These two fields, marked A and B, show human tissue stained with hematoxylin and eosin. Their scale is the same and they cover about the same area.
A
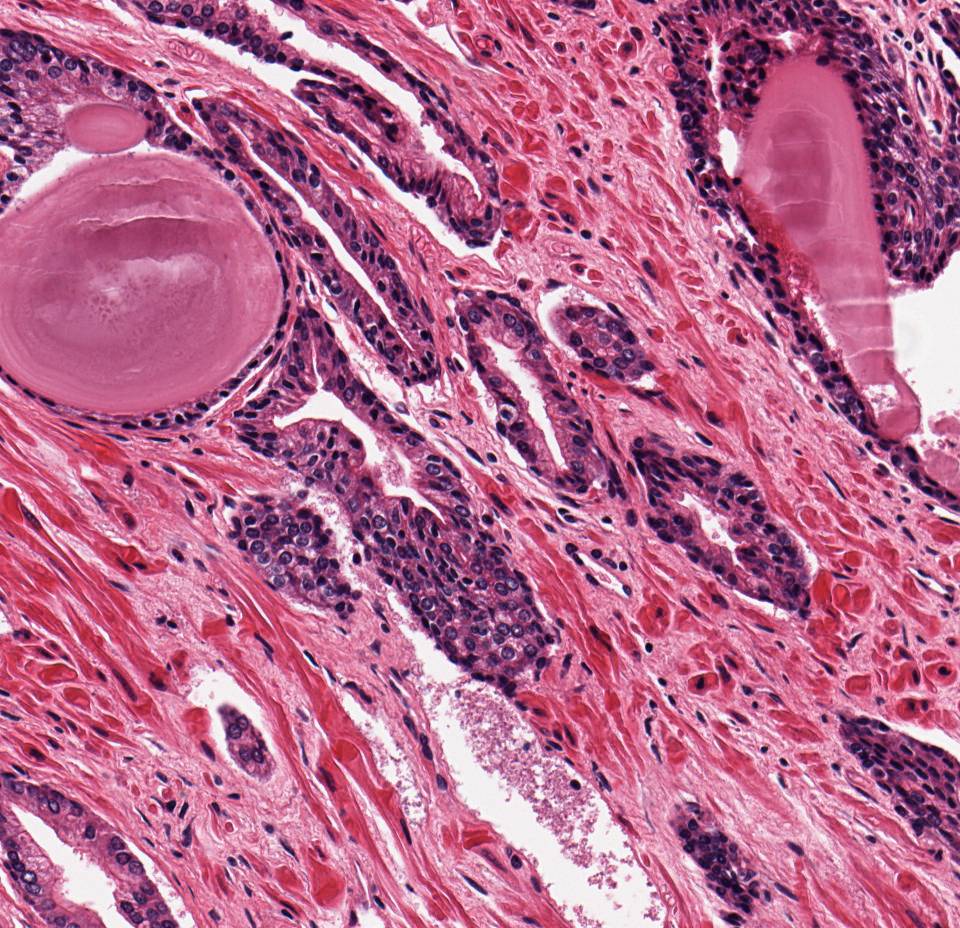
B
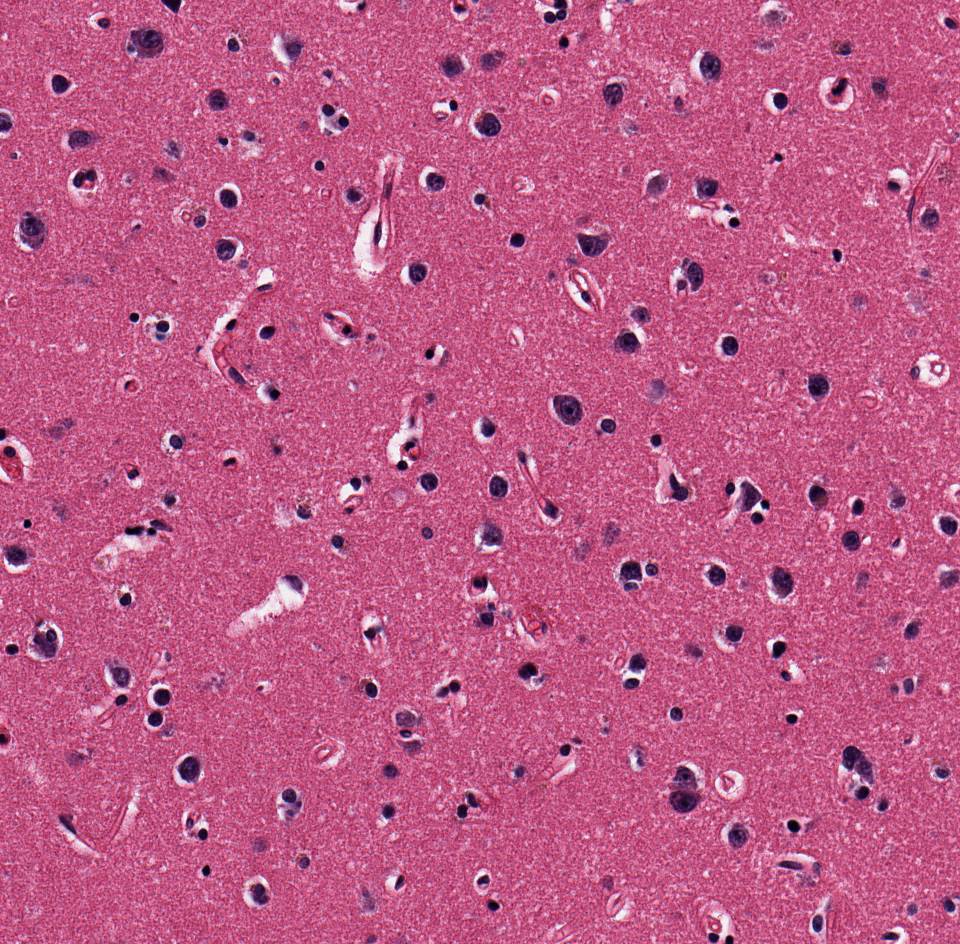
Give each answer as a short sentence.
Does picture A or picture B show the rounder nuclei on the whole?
On the whole the nuclei of picture B are rounder than those of picture A.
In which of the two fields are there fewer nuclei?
There are fewer nuclei in picture B.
